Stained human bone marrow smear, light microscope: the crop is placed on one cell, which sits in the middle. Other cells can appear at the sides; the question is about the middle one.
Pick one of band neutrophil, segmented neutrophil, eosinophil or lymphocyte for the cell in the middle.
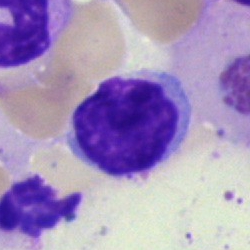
lymphocyte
